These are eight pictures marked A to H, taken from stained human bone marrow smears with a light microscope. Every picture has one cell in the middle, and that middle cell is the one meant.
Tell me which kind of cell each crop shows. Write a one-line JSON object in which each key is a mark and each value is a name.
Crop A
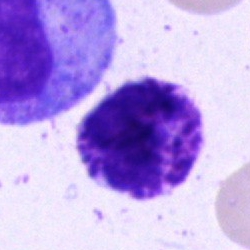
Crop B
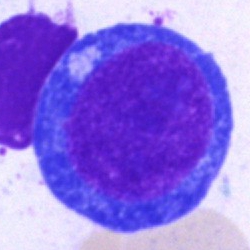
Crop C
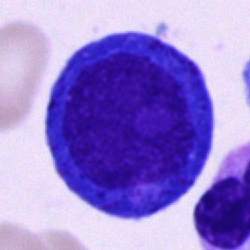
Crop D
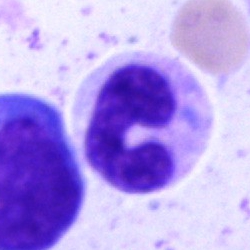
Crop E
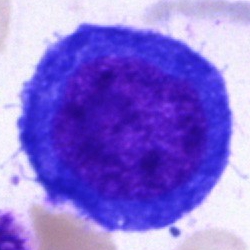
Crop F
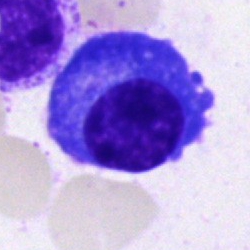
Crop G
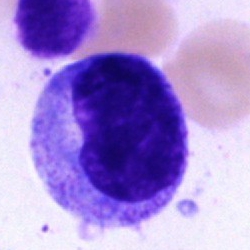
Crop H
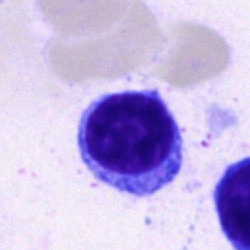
{"A": "basophil", "B": "proerythroblast", "C": "proerythroblast", "D": "band neutrophil", "E": "proerythroblast", "F": "plasma cell", "G": "promyelocyte", "H": "lymphocyte"}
